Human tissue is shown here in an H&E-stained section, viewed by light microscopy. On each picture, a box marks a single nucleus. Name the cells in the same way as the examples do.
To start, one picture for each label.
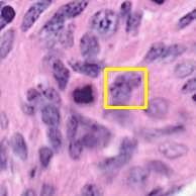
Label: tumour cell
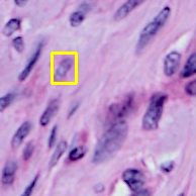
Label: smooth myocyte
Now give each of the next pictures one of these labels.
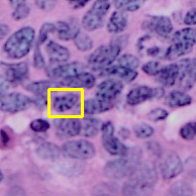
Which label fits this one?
tumour cell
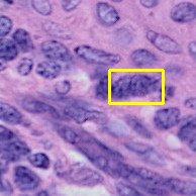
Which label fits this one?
tumour cell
